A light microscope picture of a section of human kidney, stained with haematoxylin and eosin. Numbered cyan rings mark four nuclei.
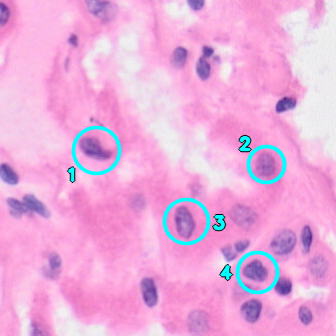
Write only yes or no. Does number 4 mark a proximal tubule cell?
no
